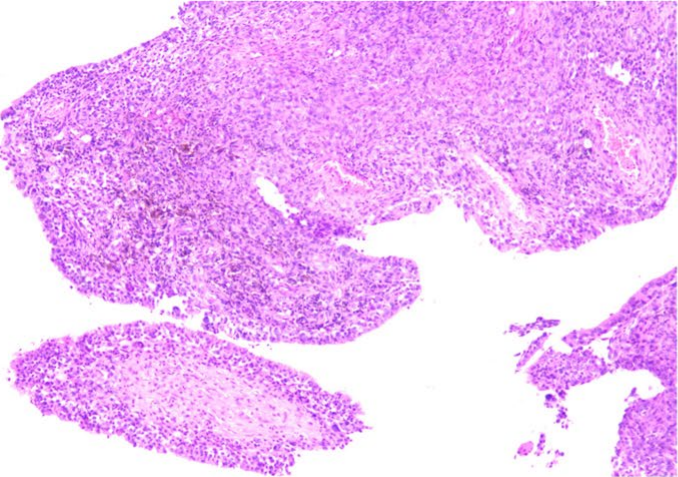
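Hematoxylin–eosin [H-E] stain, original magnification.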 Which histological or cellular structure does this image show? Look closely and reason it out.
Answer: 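Villonodular fronds. Finger-like and rounded projections of cellular tissue separated by clear spaces. The projections have a cellular surface over a paler fibrous core.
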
